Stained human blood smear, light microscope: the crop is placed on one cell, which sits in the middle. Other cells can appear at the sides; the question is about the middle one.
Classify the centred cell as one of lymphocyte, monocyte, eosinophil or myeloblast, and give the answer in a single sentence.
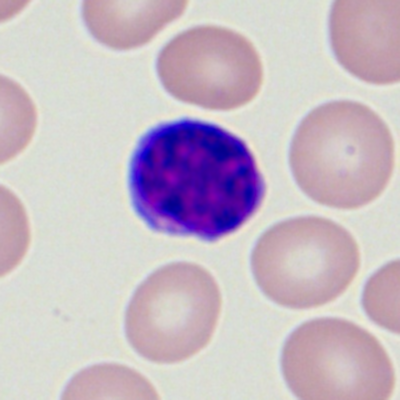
The cell at the heart of this crop is a lymphocyte.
